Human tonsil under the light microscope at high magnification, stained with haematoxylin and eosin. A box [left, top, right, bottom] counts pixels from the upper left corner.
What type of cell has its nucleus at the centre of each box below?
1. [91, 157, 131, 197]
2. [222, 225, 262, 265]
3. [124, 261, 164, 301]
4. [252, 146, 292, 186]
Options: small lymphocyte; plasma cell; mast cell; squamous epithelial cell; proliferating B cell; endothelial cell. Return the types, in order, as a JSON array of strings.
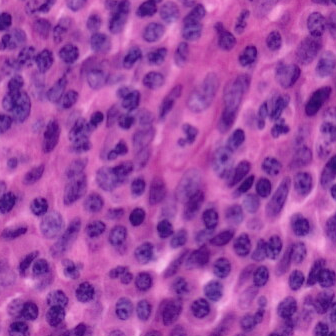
["squamous epithelial cell", "plasma cell", "plasma cell", "plasma cell"]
